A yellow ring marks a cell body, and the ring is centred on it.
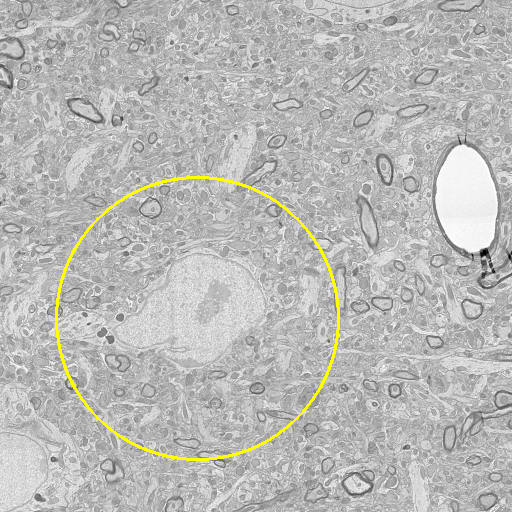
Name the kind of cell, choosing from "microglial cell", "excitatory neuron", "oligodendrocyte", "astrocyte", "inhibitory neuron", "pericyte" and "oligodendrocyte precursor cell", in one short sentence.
The marked cell body belongs to an oligodendrocyte precursor cell.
